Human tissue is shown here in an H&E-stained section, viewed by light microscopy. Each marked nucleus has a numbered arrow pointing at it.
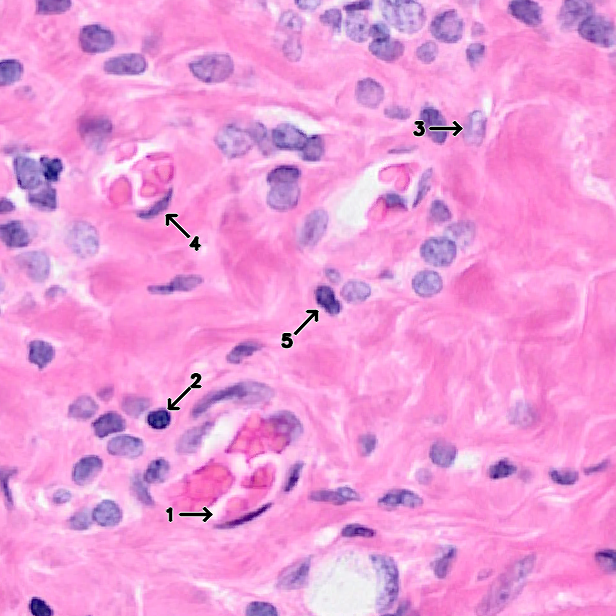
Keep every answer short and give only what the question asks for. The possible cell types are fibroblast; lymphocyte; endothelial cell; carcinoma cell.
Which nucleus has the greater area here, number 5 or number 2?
5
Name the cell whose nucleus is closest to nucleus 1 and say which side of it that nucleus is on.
an endothelial cell, above and to the right of nucleus 1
